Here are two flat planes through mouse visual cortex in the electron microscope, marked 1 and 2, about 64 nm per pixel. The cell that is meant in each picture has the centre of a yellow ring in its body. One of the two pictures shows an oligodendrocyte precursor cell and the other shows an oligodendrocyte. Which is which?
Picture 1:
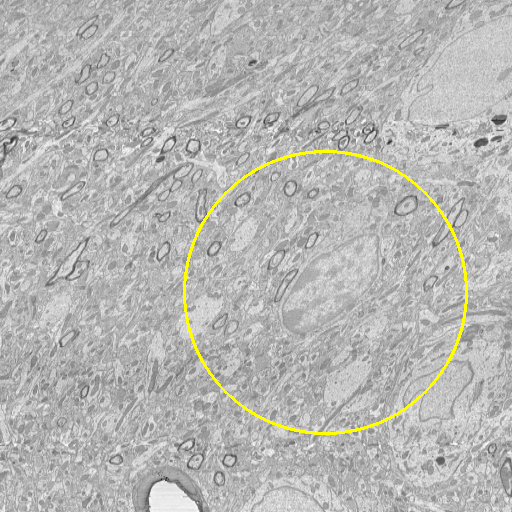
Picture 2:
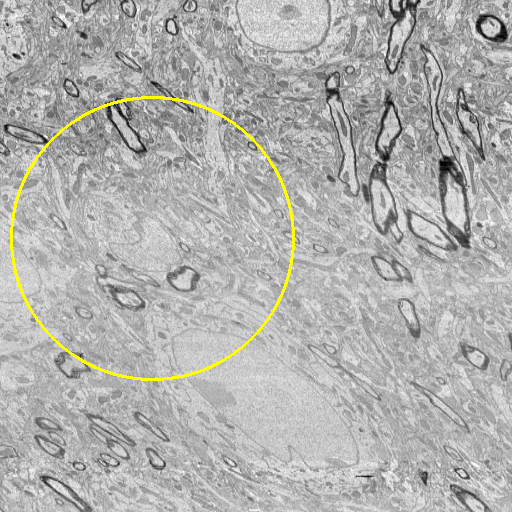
It is picture 1 that shows an oligodendrocyte, and picture 2 that shows an oligodendrocyte precursor cell.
